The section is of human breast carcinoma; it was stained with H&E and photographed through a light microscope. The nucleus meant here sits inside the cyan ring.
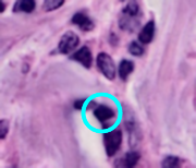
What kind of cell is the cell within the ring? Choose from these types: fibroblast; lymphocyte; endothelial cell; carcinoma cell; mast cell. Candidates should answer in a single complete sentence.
Considered by cell type, the cell within the ring is a lymphocyte.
